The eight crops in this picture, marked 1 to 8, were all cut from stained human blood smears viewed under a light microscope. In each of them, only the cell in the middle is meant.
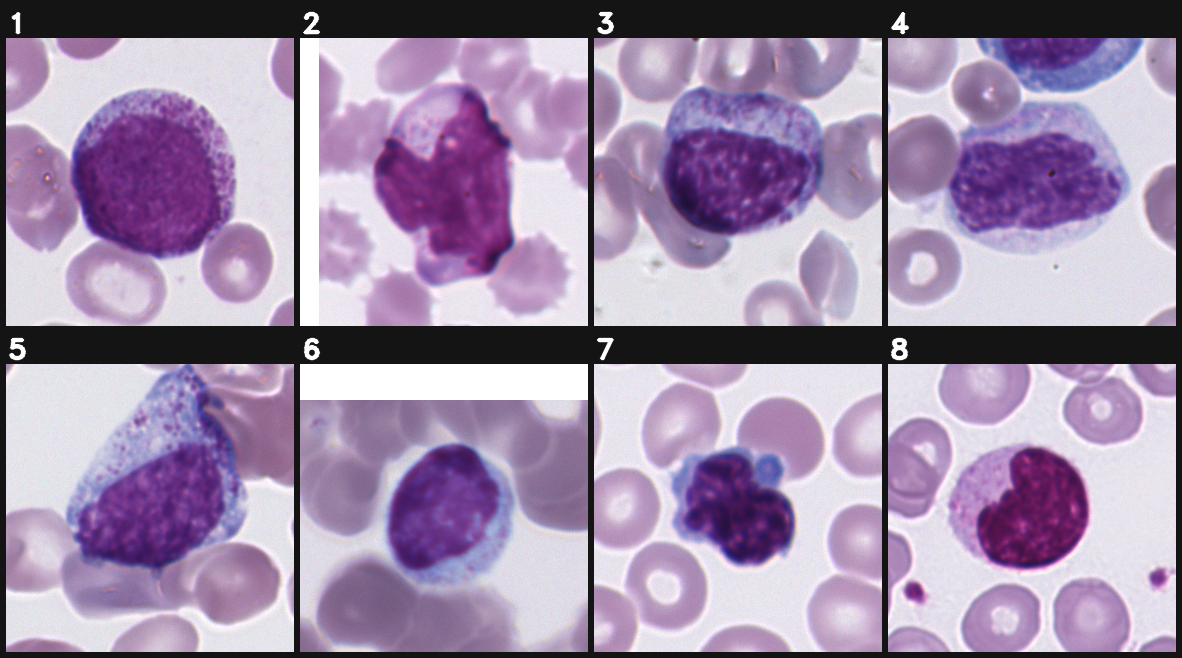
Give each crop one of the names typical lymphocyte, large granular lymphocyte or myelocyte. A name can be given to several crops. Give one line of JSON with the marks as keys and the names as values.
{"1": "myelocyte", "2": "large granular lymphocyte", "3": "myelocyte", "4": "myelocyte", "5": "myelocyte", "6": "typical lymphocyte", "7": "typical lymphocyte", "8": "large granular lymphocyte"}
